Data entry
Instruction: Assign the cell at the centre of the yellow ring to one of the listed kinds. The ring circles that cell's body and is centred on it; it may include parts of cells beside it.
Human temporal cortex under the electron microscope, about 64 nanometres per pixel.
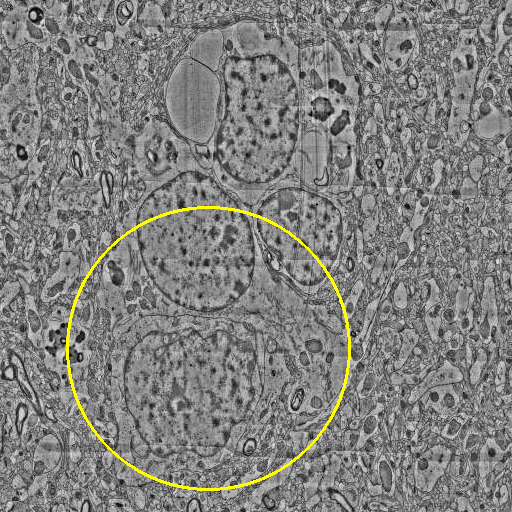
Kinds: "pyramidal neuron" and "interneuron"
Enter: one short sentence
The centre of the ring falls on an interneuron.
